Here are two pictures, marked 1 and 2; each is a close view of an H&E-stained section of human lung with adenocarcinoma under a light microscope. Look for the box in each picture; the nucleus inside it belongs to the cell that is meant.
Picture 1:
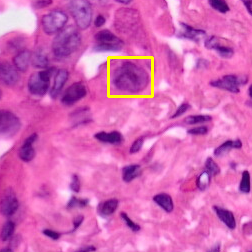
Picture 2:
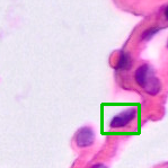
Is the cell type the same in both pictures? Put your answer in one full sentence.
No, they differ: the cell is a carcinoma cell in picture 1 and a type I pneumocyte in picture 2.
